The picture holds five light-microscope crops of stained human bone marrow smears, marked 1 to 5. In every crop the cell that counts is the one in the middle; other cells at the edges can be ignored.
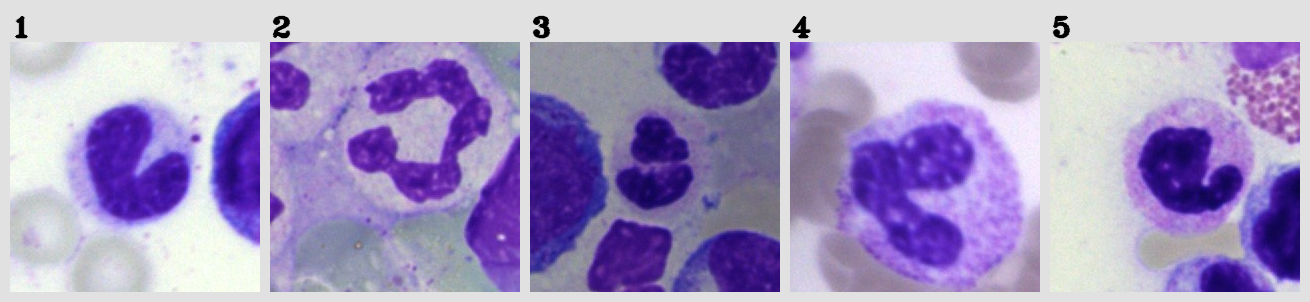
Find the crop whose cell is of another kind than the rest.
1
